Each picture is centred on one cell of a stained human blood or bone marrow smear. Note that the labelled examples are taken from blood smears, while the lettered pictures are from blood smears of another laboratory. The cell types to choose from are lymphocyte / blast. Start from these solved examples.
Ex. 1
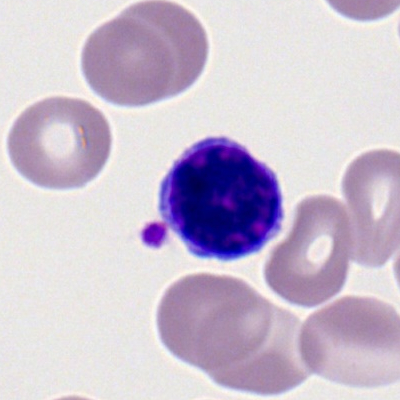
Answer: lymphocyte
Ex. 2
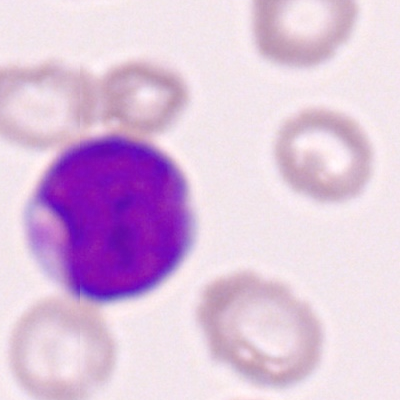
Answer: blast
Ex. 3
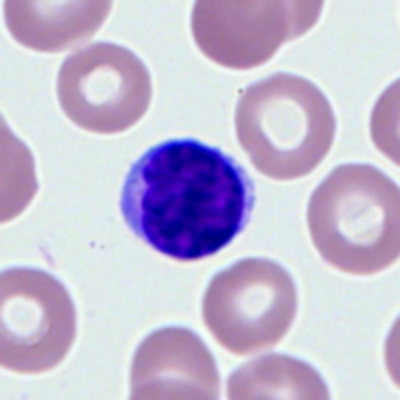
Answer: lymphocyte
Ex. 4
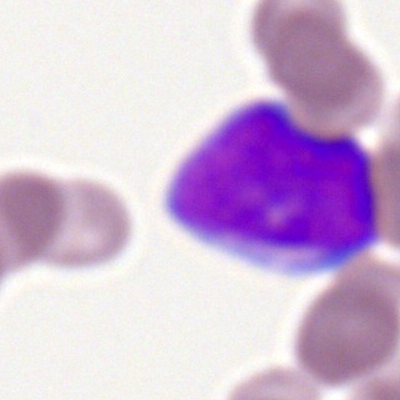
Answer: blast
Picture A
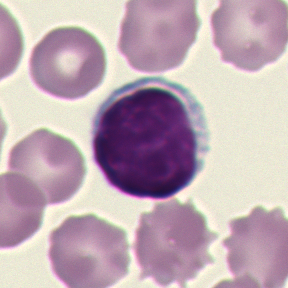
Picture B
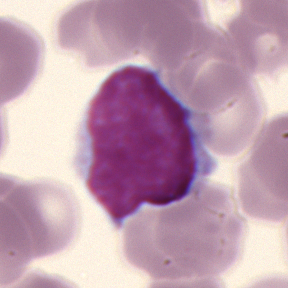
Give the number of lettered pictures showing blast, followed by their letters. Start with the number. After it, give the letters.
0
